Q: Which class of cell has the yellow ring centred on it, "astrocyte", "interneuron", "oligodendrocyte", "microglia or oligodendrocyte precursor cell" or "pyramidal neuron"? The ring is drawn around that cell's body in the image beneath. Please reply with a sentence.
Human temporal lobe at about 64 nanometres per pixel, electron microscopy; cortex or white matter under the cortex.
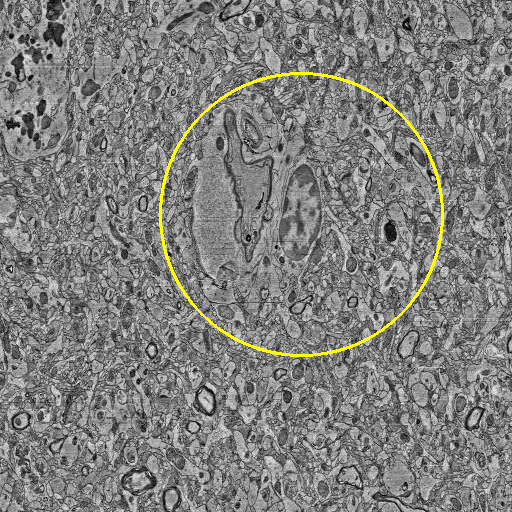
It is centred on a microglial cell or oligodendrocyte precursor cell.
